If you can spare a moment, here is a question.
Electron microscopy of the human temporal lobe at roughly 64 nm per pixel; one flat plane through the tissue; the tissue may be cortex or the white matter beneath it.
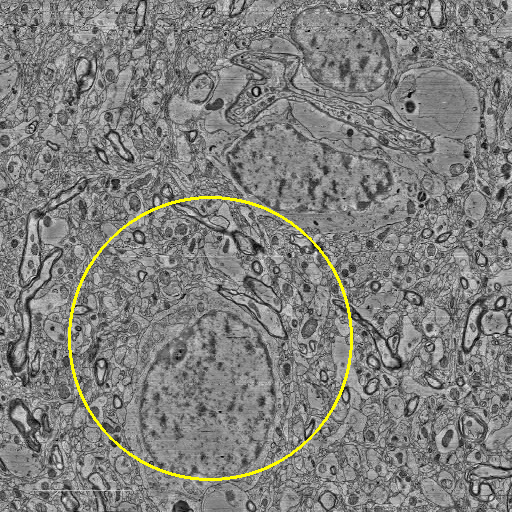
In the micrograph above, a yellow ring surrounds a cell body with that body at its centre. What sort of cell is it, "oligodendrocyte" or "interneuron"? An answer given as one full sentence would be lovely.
Centred inside the yellow ring, the cell body shown belongs to an interneuron in this micrograph.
